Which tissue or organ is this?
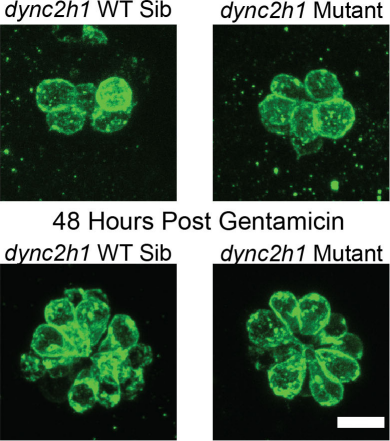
Neuromasts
